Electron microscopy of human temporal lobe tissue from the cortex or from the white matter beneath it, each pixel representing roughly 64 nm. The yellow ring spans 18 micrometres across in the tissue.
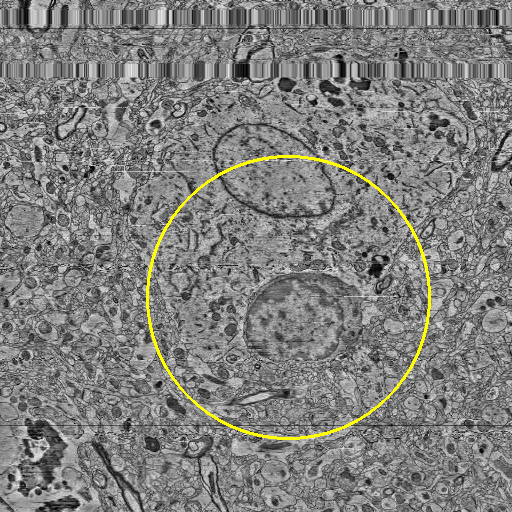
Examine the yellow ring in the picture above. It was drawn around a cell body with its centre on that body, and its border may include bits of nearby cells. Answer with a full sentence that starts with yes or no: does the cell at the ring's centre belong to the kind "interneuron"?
No, the cell at the heart of the ring shown in the image is a different kind of cell.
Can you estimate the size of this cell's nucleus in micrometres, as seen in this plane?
Roughly 6 micrometers across in this plane.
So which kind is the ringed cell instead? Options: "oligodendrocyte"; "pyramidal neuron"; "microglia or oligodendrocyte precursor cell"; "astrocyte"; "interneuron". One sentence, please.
So the cell at the centre is an oligodendrocyte.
